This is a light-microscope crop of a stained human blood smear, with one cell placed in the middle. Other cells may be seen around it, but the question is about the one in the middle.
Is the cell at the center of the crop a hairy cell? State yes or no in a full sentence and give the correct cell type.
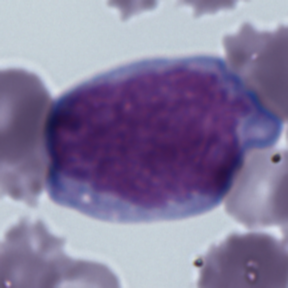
No, it is a blast rather than a hairy cell that the middle of the crop contains.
